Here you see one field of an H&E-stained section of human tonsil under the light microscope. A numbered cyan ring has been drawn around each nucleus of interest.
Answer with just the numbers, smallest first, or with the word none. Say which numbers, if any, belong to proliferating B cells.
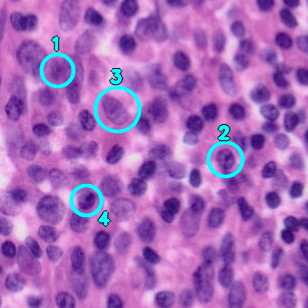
none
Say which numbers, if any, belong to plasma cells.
2, 4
